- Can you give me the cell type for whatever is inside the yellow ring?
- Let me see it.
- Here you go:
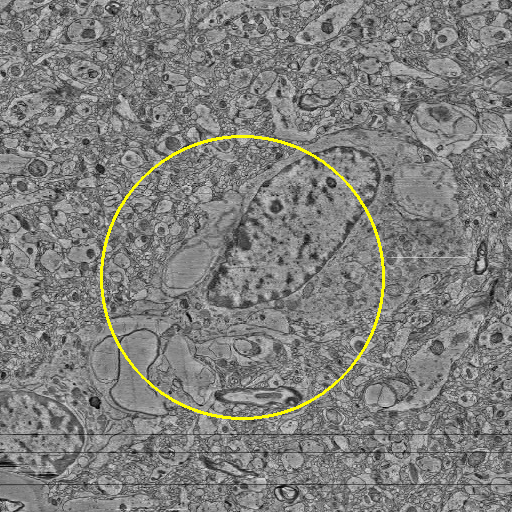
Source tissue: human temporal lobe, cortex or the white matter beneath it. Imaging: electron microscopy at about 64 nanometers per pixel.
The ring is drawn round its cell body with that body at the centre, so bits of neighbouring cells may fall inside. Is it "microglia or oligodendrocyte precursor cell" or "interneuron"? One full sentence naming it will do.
The cell body in the middle of the ring in this picture belongs to a microglial cell or oligodendrocyte precursor cell.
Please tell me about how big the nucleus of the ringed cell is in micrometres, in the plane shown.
Clearly longer than it is wide in this plane, the nucleus measures roughly 12 by 7 micrometres.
